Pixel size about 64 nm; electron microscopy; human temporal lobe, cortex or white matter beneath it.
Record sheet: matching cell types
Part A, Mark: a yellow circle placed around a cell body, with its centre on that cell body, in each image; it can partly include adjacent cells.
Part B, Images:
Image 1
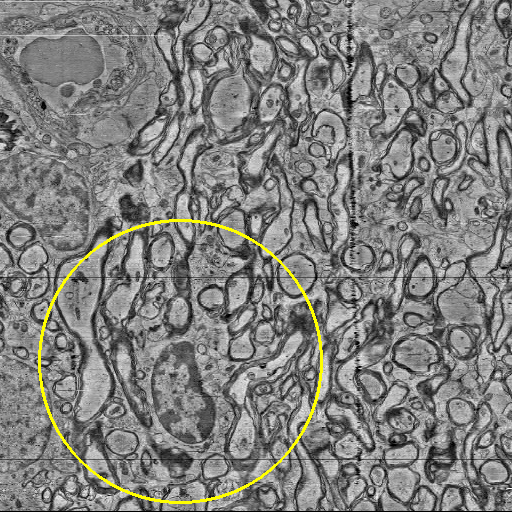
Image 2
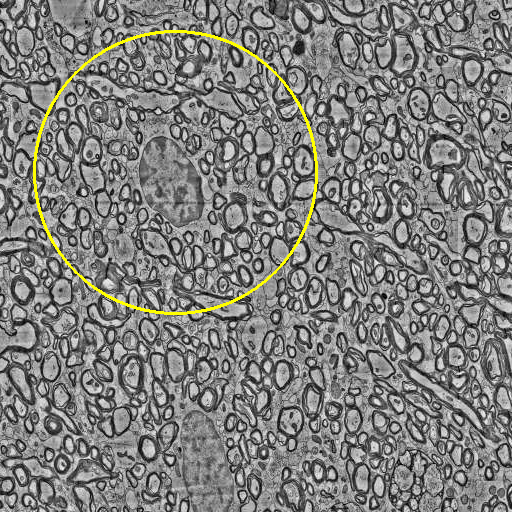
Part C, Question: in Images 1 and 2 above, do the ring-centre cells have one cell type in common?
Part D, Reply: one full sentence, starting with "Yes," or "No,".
Yes, the ring-centre cells of Image 1 and Image 2 are both of a single cell type.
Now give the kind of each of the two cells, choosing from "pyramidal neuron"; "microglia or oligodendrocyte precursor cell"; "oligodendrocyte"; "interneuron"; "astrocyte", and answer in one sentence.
Both pictures show a microglial cell or oligodendrocyte precursor cell at the centre of the ring.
